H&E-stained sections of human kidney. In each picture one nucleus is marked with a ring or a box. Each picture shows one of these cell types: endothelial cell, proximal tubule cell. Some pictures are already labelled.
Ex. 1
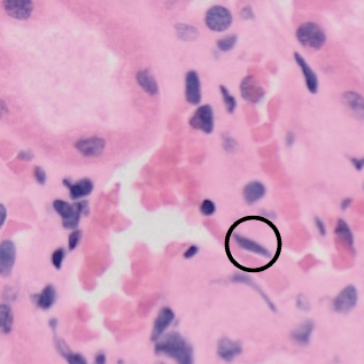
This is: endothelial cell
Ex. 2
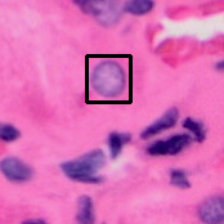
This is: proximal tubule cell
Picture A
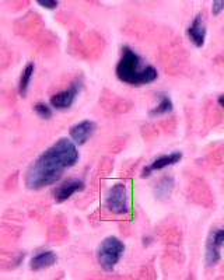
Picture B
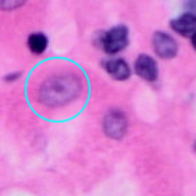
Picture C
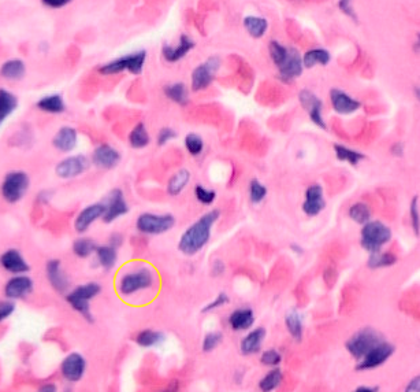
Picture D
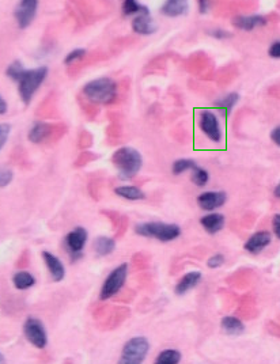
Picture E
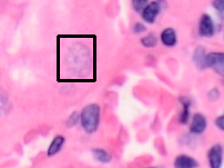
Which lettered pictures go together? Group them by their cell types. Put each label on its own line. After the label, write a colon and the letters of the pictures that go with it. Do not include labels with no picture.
endothelial cell: A, C, D
proximal tubule cell: B, E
